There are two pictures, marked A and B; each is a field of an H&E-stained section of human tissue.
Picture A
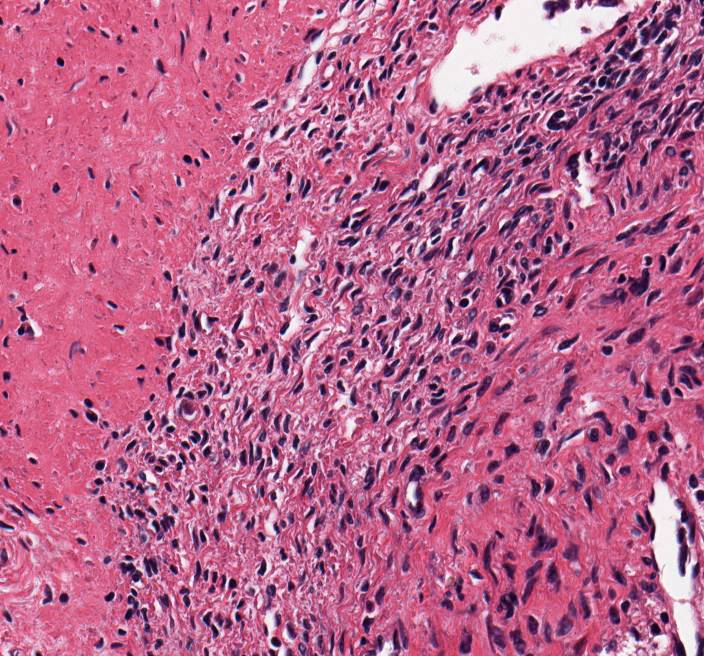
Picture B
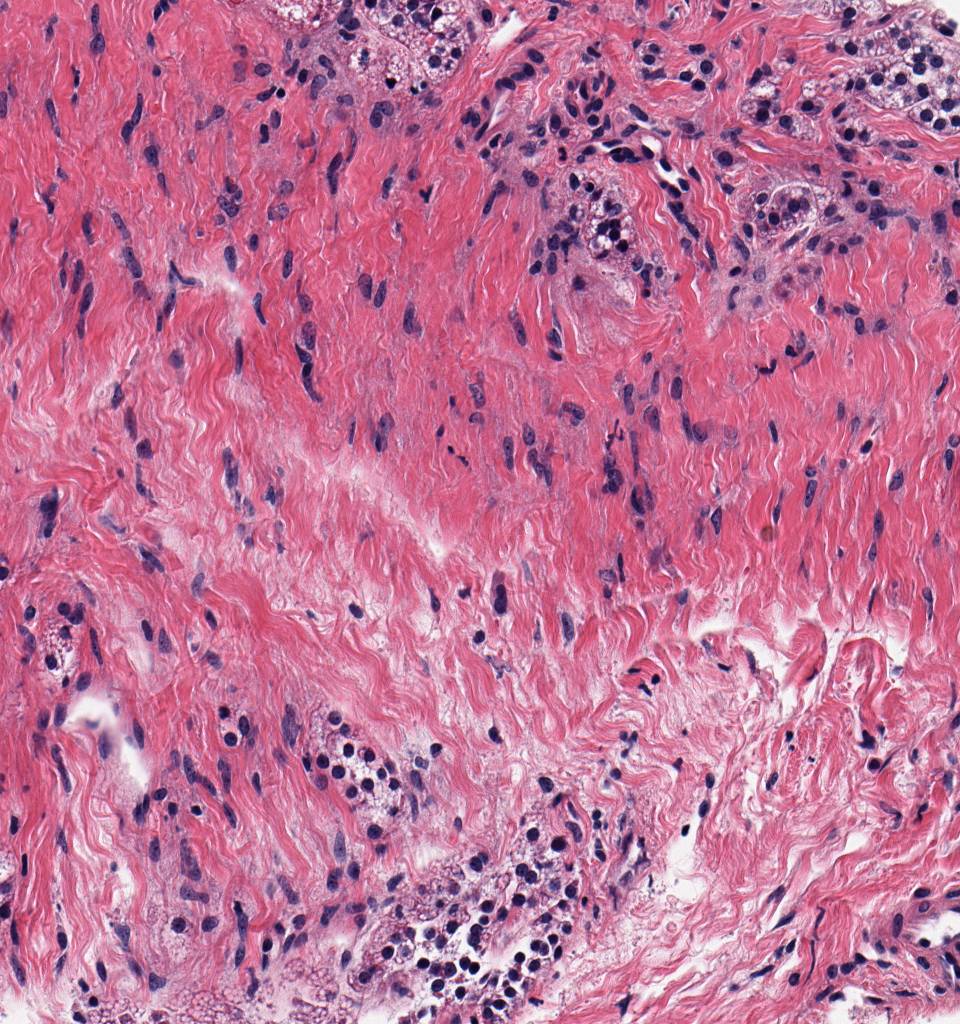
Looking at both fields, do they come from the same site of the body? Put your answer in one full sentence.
No, picture A comes from the ovary and picture B comes from the adrenal gland.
